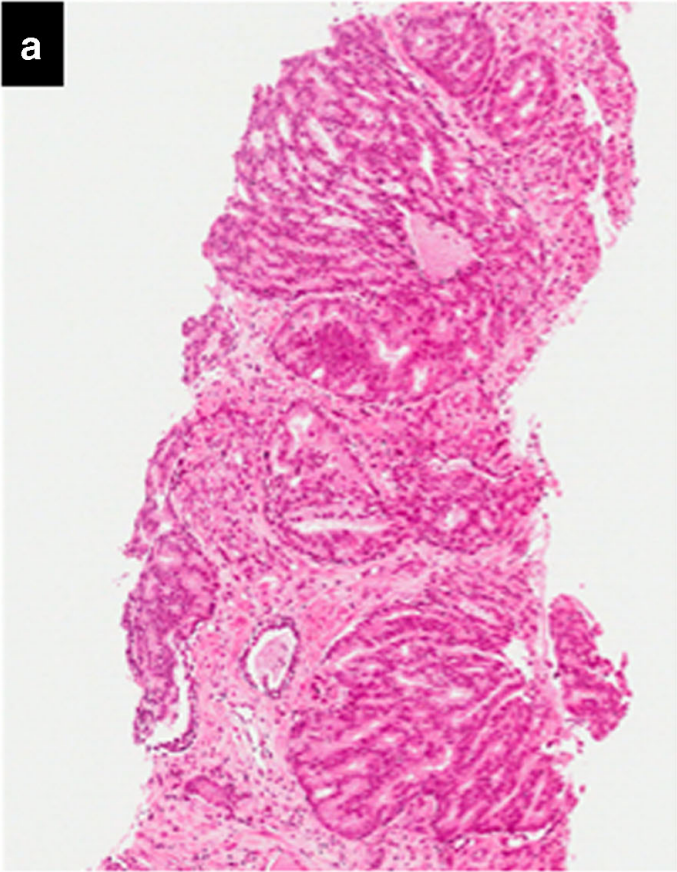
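This needle core of prostate is largely replaced by large, rounded to irregular nests of crowded carcinoma cells set in pink fibromuscular stroma. One nest near the top holds pale pink, homogeneous acellular material in its centre. A small benign-looking gland with an open lumen sits in the stroma near the lower left of the core.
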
